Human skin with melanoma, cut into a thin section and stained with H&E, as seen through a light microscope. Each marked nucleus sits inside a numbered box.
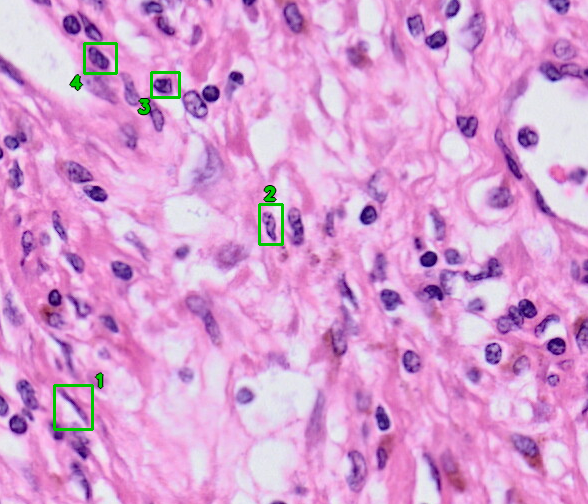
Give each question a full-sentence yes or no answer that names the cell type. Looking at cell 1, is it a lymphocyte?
No, cell 1 counts as a fibroblast or myofibroblast rather than as a lymphocyte.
